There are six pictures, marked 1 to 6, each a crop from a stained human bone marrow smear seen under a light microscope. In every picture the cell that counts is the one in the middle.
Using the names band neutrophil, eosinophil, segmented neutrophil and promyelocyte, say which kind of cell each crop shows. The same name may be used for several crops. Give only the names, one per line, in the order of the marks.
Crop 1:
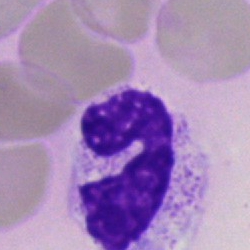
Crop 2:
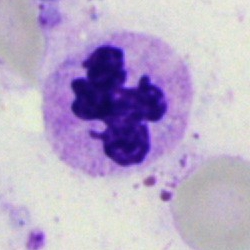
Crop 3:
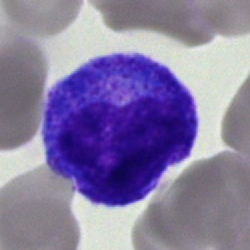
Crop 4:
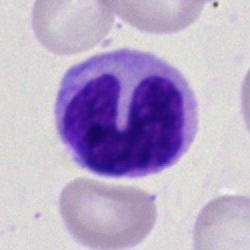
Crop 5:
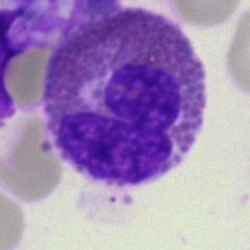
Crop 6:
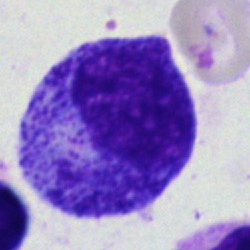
band neutrophil
segmented neutrophil
promyelocyte
band neutrophil
eosinophil
promyelocyte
